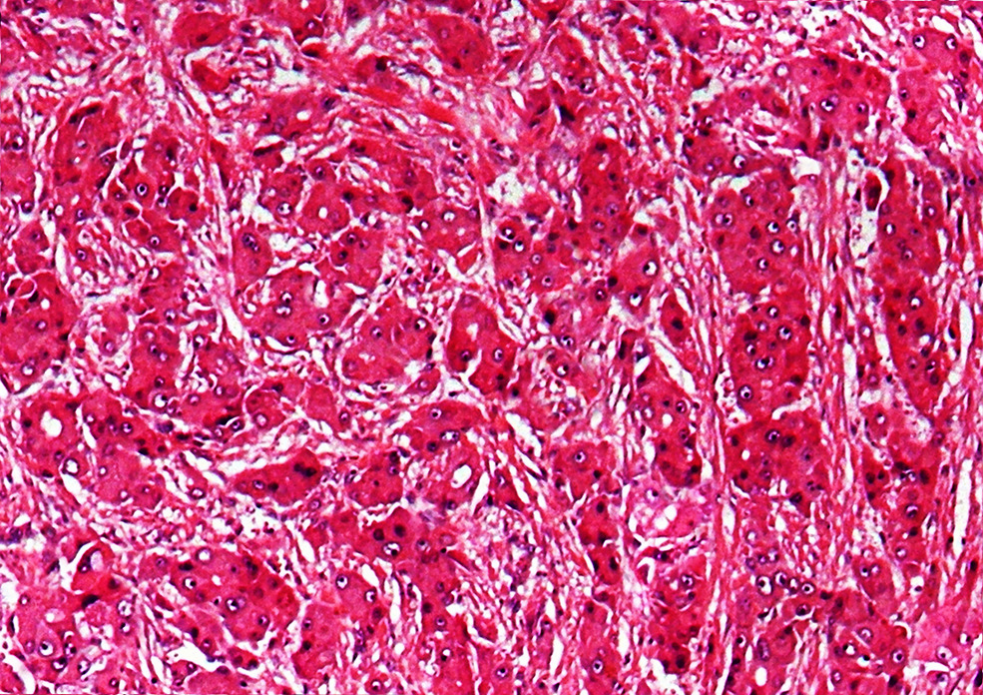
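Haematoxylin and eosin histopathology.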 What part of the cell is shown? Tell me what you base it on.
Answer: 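Prominent nucleoli. Many round nuclei hold a single conspicuous dark dot at their centre. The dots stand out against the paler nucleus.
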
